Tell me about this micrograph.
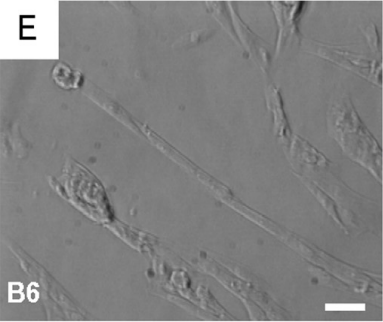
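Cultured cells that have fused into long, slender tubular structures running diagonally across the field. Some tubes end in a swollen, rounded portion, and sparse flattened cells lie between them on a smooth background.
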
